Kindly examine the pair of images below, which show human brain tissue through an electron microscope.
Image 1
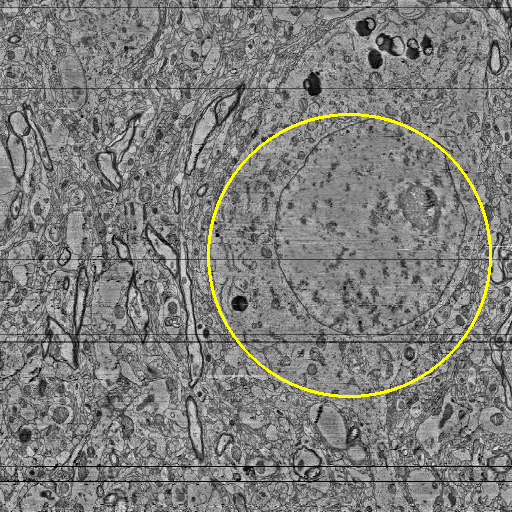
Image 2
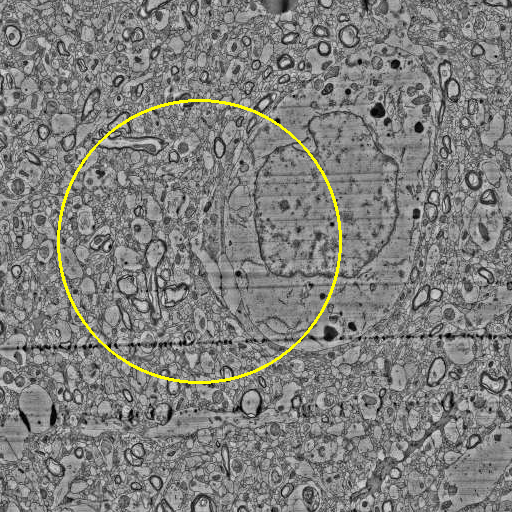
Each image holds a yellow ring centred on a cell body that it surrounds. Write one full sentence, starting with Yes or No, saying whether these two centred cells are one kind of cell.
No, the cells at the centres of the yellow rings belong to two kinds of cell.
